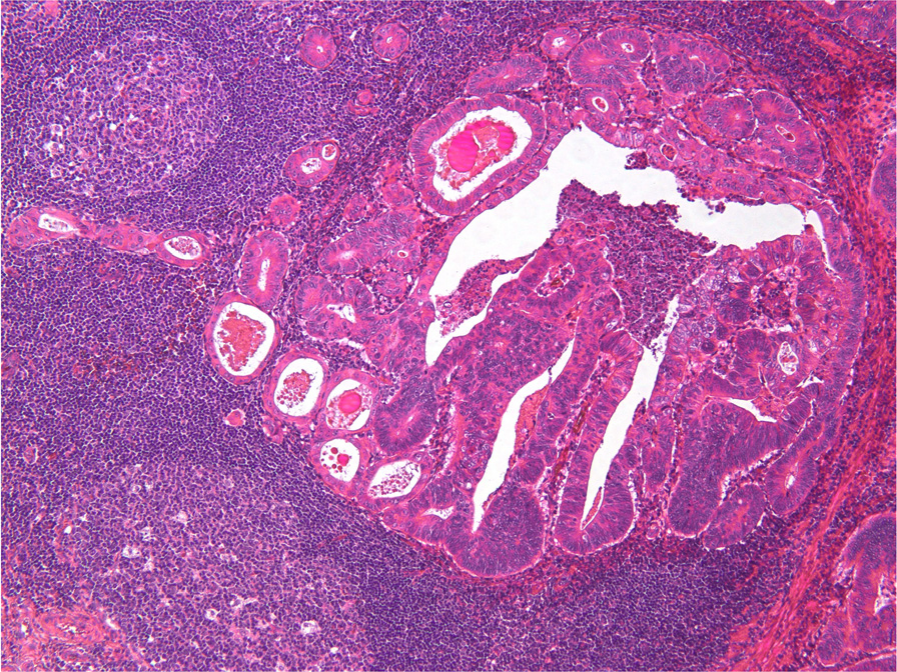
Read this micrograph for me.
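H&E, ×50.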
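This is an adenocarcinoma with low-grade architecture. It forms a well-defined nodule of glands inside dense lymphoid tissue. The background consists of sheets of small, dark-blue lymphocytes, with follicles whose centres are paler. The tumour glands vary in shape. Some are tubular, and some have long branching slit-like lumens in the centre of the nodule. Columnar cells line them, with crowded, elongated, stratified nuclei and pink cytoplasm. Along the nodule's edge, several glands are round and cystically widened. Their lumens hold pink material mixed with cell debris. A thin band of pink fibrous tissue borders the nodule on the right.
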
